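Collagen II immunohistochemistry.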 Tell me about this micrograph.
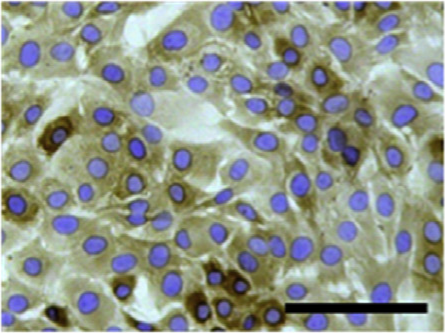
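These are cultured chondrocytes in a dense monolayer. The cells are polygonal to flattened, lying closely side by side with indistinct borders. Around the nuclei the cytoplasm is stained brown, strongly in some cells where it forms a dark perinuclear rim, and more faintly in others, while the nuclei remain blue and unstained by the brown product. Paler, unstained areas lie between groups of cells.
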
